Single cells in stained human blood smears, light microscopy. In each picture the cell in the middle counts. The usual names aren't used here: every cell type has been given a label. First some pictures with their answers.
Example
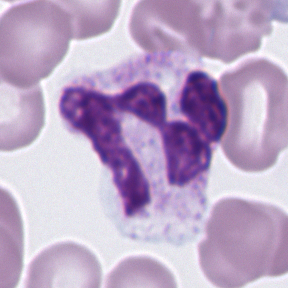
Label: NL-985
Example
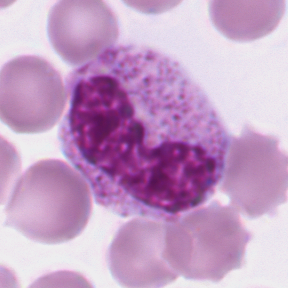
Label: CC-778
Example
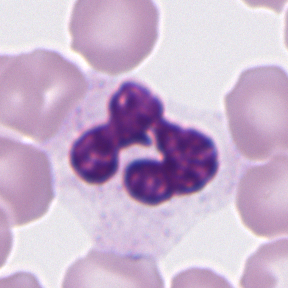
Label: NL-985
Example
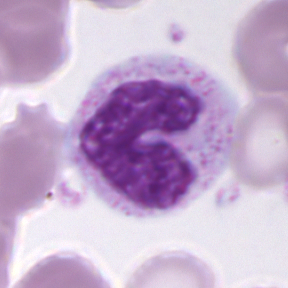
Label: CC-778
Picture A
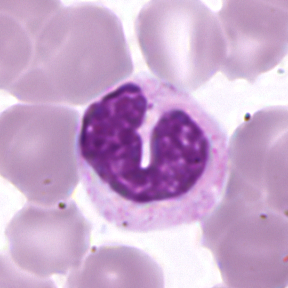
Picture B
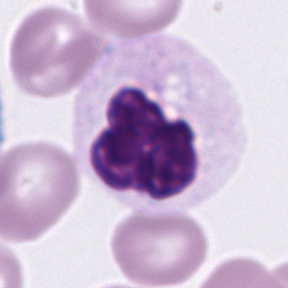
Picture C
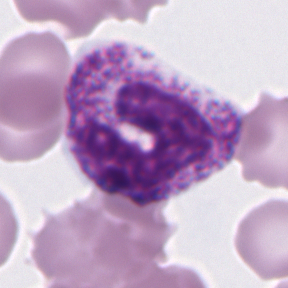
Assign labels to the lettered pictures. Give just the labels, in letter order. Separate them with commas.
CC-778, NL-985, CC-778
